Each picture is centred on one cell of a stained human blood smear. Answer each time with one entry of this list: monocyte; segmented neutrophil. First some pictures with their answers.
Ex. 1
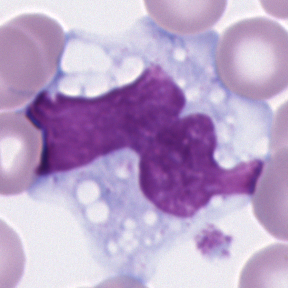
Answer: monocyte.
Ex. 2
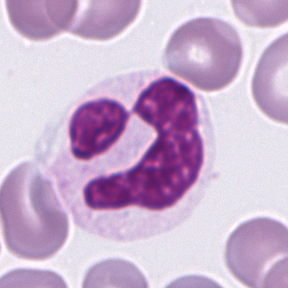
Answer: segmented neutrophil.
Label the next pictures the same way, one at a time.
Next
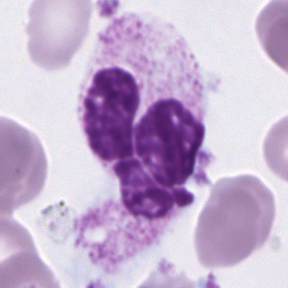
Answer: segmented neutrophil.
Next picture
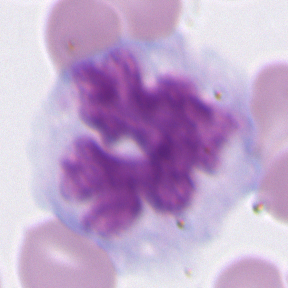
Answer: monocyte.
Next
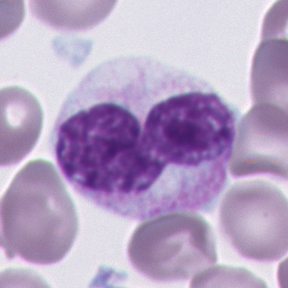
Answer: segmented neutrophil.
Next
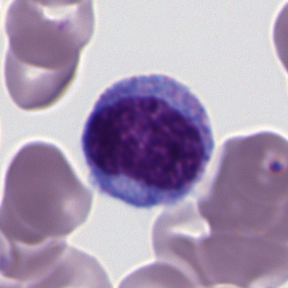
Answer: monocyte.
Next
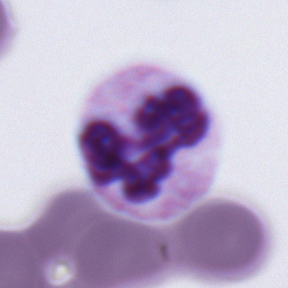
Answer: segmented neutrophil.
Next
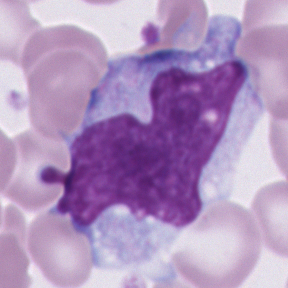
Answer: monocyte.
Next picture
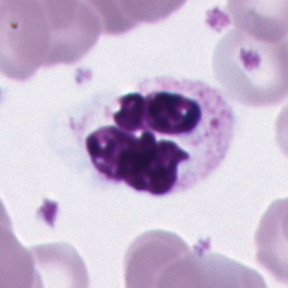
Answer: segmented neutrophil.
